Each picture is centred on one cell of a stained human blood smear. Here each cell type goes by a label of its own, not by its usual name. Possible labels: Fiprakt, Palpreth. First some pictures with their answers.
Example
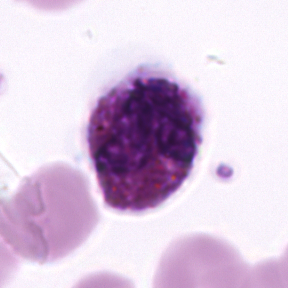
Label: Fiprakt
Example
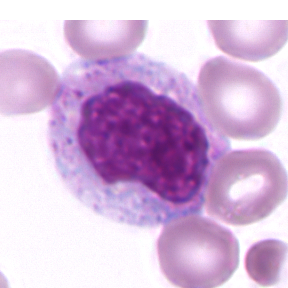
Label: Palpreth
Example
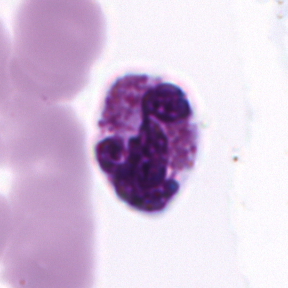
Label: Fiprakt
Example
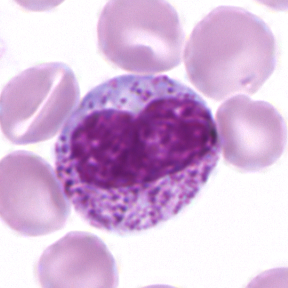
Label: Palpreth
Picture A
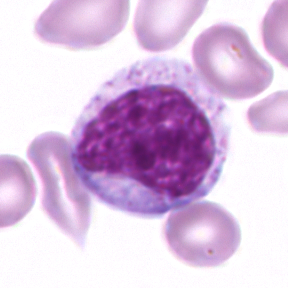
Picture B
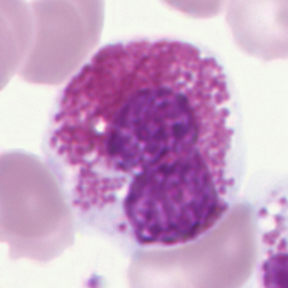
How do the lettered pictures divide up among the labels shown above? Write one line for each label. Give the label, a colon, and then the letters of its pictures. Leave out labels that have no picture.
Fiprakt: B
Palpreth: A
